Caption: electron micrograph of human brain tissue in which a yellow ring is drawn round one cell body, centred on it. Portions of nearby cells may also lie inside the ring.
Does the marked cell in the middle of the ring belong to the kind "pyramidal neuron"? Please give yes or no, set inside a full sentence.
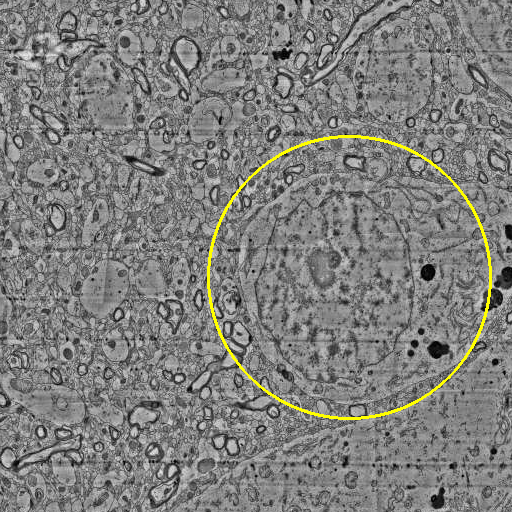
No, the marked cell that the ring is centred on in the picture is of another kind.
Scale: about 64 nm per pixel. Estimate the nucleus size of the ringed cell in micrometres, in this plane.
About 12 by 10 micrometers for the nucleus, in this plane.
